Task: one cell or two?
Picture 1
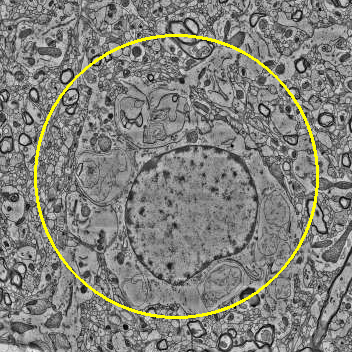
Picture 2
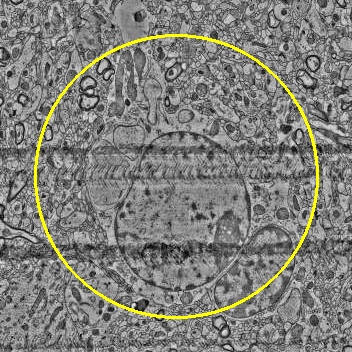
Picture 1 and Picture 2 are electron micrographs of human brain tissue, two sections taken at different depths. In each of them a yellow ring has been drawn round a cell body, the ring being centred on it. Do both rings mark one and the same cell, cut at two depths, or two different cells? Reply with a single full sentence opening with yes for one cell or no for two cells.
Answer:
Yes, only one cell is involved, and both rings mark it.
